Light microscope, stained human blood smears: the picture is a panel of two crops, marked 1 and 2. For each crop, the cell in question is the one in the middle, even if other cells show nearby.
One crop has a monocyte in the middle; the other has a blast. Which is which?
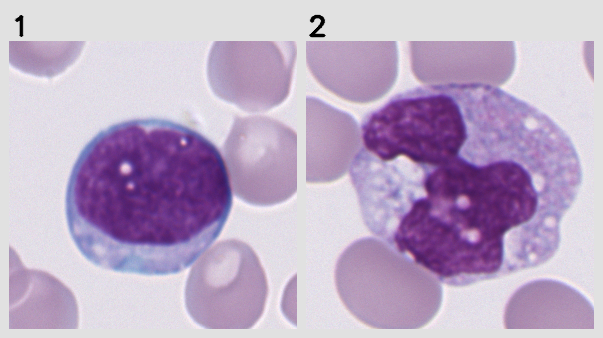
1: blast
2: monocyte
